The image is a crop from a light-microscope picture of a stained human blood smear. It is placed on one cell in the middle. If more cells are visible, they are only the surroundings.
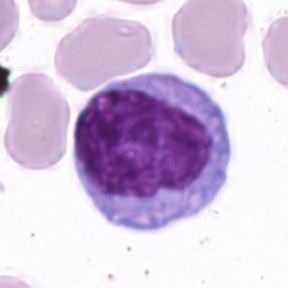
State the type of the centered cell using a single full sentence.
Here the cell in the middle is a plasma cell.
